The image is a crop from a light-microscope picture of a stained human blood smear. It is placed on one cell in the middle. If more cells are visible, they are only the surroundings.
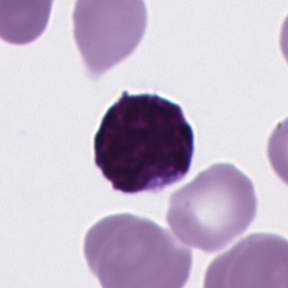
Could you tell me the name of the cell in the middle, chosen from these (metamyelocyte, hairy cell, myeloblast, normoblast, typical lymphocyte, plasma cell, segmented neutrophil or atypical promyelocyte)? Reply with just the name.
myeloblast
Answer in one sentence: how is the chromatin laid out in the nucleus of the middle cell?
Its chromatin is clumped in a coarse pattern.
